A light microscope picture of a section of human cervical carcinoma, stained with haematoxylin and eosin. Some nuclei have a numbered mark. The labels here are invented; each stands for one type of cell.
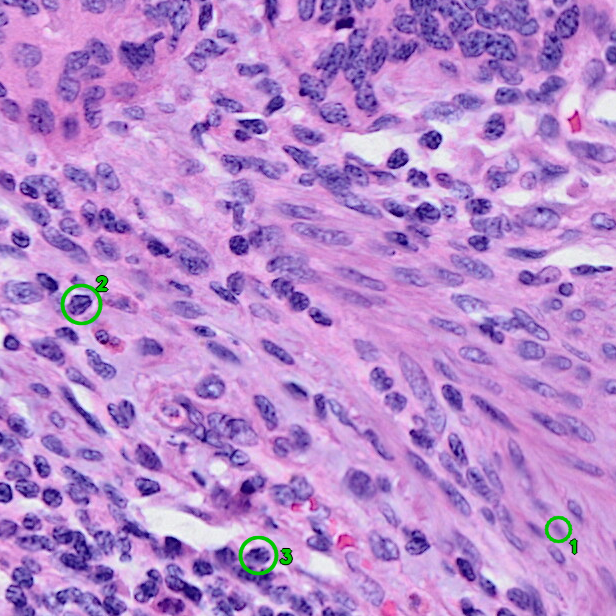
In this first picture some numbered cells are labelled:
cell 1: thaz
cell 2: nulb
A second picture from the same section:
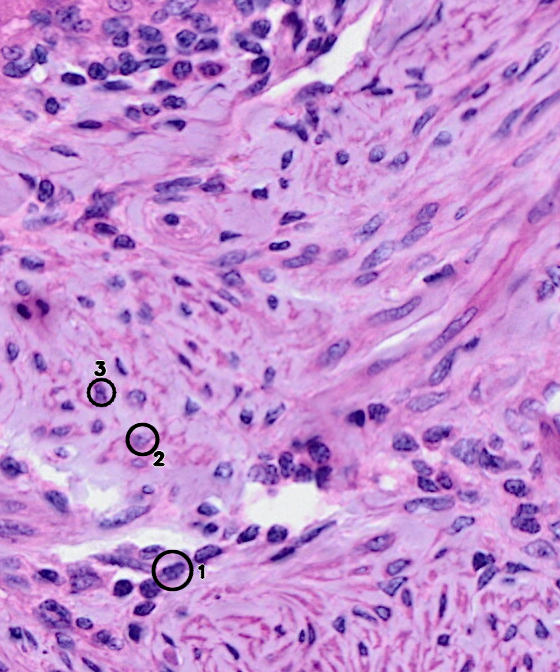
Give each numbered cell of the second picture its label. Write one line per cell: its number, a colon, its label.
1: nulb
2: thaz
3: thaz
